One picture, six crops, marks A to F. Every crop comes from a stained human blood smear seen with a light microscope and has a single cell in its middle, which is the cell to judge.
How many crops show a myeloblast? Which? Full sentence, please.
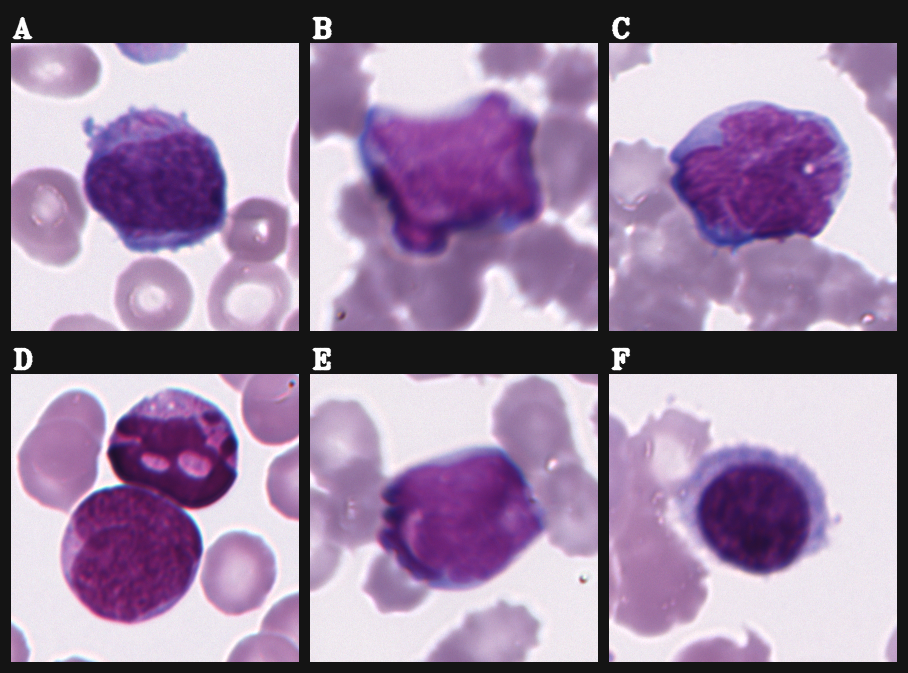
Crops B, C, D and E are the four that show myeloblasts.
